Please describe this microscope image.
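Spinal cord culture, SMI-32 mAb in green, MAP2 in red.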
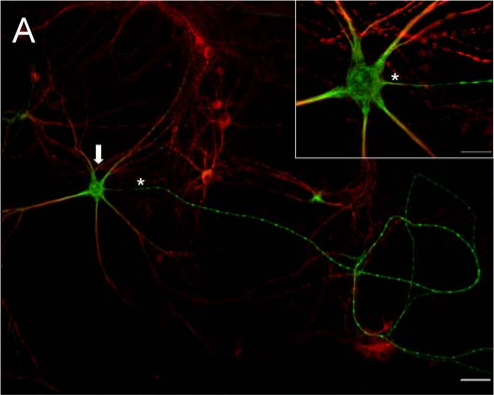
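One process differs: it is thin, of even width, beaded, and runs a very long winding course across the field, far beyond the others. The enlarged inset shows the cell body with a rounded nuclear region and the bases of the radiating processes, the thicker ones appearing yellow-orange where green and red overlap. Surrounding smaller cell bodies and a dense meshwork of fine processes appear red.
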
